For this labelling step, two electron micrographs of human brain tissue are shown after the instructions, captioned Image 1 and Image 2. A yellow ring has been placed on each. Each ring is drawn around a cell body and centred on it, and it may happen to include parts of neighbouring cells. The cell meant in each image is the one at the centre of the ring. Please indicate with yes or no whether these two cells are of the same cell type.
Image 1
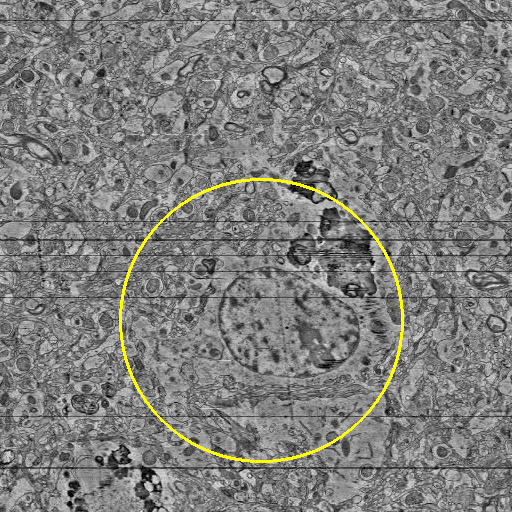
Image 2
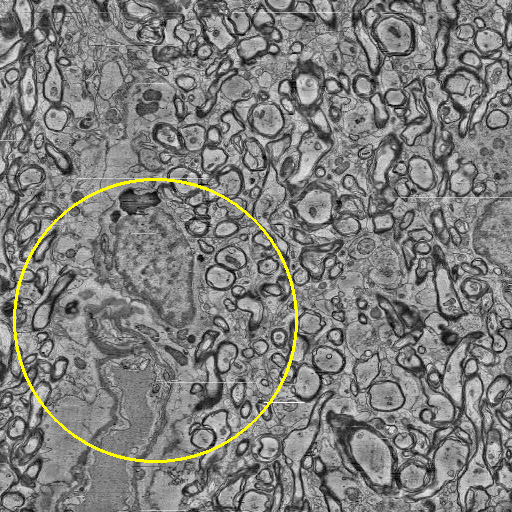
no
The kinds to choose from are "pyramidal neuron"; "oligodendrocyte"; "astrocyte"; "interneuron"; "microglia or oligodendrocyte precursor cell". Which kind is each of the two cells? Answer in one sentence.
Of the two, the first cell is an astrocyte and the second cell is an oligodendrocyte.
